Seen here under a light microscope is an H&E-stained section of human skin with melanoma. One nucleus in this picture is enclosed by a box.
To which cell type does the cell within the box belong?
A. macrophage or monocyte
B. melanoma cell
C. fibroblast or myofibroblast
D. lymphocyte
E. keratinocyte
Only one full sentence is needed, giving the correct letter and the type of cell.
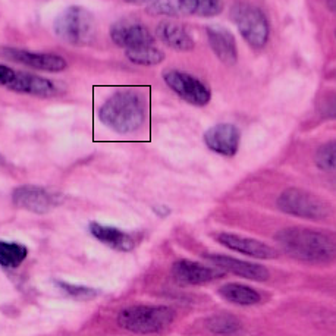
Here the correct option is C, since the cell within the box is a fibroblast or myofibroblast.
